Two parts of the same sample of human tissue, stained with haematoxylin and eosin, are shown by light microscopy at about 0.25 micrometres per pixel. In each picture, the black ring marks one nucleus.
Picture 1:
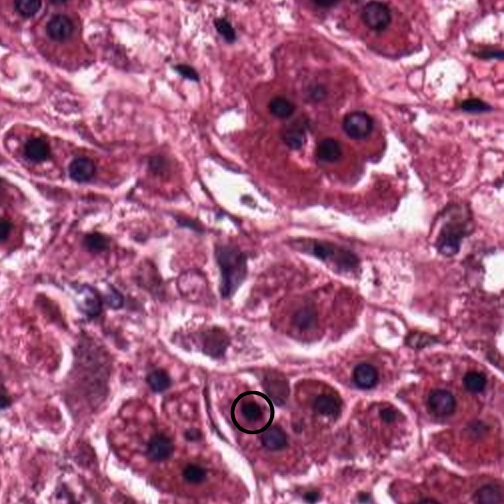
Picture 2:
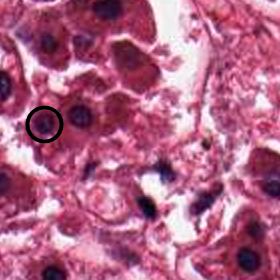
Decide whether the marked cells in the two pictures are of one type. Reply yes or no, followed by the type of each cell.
Yes, both are adrenal cortical cells.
